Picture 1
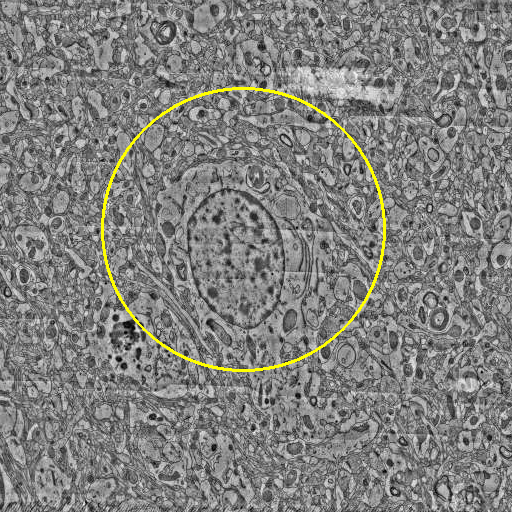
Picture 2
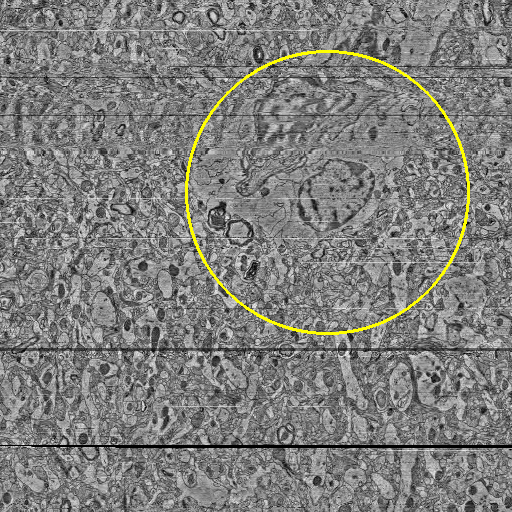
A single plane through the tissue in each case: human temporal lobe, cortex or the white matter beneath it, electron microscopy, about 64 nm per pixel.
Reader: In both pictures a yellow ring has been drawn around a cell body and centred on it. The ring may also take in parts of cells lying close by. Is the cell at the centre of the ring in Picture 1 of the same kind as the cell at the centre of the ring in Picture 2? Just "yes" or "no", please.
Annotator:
no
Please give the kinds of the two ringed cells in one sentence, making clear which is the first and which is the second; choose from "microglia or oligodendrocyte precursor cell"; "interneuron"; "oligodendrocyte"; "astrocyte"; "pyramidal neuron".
In the second picture the ringed cell is a microglial cell or oligodendrocyte precursor cell; in the first it is an astrocyte.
